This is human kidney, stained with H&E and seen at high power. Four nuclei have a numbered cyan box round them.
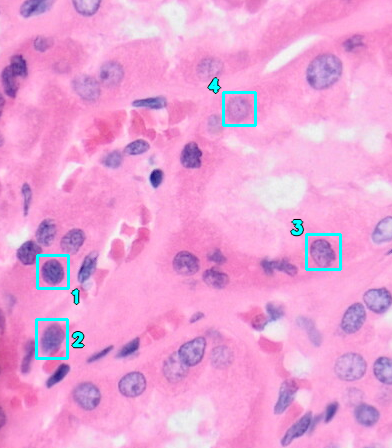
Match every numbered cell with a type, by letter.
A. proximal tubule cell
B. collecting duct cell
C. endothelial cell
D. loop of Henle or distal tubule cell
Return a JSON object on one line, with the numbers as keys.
{"1": "D", "2": "C", "3": "A", "4": "A"}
